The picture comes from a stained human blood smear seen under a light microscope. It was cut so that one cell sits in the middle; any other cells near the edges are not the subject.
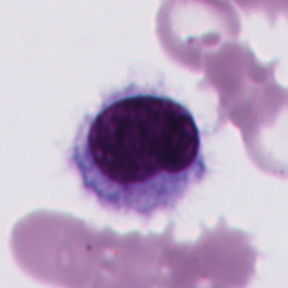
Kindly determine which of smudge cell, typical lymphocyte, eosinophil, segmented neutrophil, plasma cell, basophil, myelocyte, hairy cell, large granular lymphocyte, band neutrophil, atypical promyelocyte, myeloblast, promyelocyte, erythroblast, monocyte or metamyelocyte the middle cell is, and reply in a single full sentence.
For this crop, the cell in the middle is a hairy cell.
